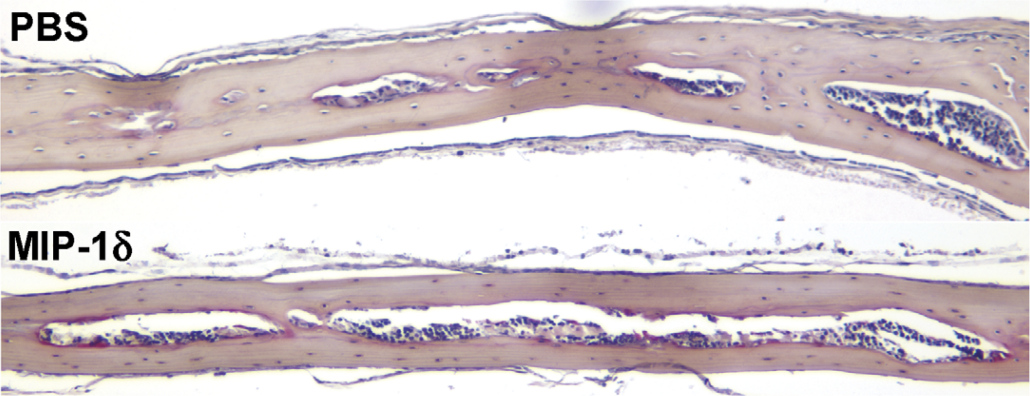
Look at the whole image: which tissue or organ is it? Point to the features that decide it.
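Calvarial. A thin flat plate of bone runs across the whole image. Thin fibrous soft-tissue layers line both outer surfaces of the plate. Enclosed cell-filled spaces sit within the thickness of the plate.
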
